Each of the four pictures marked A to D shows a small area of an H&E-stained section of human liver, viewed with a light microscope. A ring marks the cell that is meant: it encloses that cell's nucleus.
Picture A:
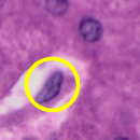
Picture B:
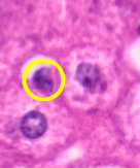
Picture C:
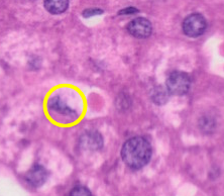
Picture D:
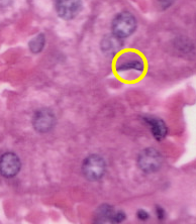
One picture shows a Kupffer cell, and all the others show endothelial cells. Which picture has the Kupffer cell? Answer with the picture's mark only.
A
